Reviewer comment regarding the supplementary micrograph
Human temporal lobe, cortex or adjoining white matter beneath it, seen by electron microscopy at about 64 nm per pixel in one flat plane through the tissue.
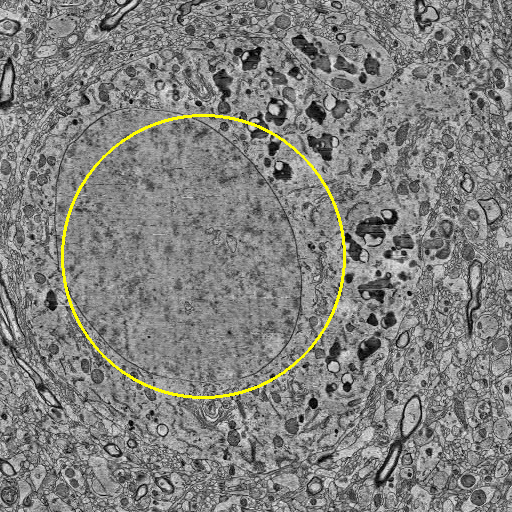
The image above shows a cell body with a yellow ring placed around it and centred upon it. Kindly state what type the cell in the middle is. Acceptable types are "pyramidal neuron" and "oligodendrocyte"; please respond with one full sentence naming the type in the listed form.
In the image above, the cell on which the yellow ring is centred is a pyramidal neuron.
